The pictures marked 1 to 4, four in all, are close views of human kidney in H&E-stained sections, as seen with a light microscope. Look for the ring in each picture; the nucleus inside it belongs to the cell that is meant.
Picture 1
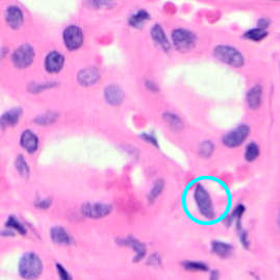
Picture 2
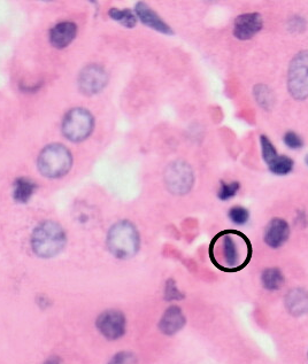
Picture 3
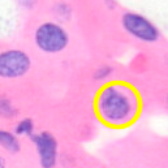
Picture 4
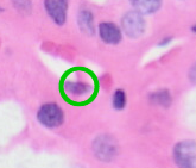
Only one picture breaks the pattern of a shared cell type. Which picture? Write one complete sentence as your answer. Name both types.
The different one is picture 3; it shows a “loop of Henle or distal tubule cell”, whereas all the others show endothelial cells.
